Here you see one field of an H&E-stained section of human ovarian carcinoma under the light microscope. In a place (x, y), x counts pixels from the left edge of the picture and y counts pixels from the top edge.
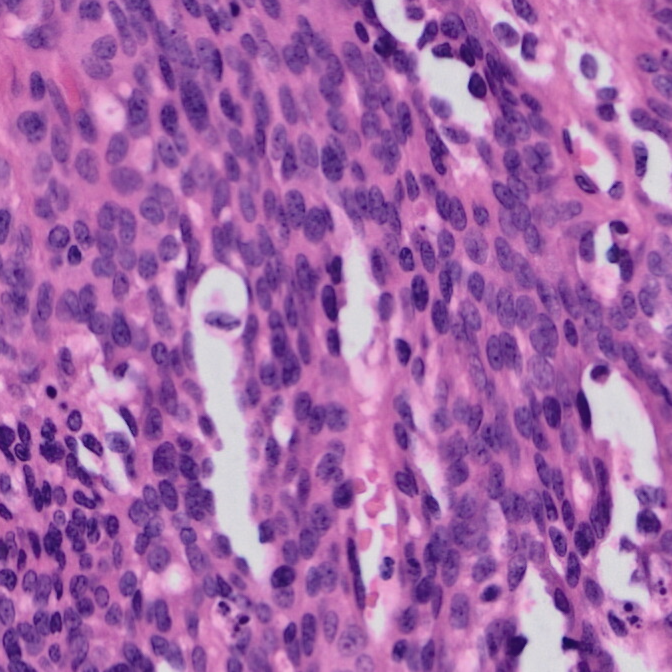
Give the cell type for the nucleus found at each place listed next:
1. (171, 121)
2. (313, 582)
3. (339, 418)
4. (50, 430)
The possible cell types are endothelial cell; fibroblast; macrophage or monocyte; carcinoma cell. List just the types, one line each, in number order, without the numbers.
carcinoma cell
carcinoma cell
carcinoma cell
macrophage or monocyte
